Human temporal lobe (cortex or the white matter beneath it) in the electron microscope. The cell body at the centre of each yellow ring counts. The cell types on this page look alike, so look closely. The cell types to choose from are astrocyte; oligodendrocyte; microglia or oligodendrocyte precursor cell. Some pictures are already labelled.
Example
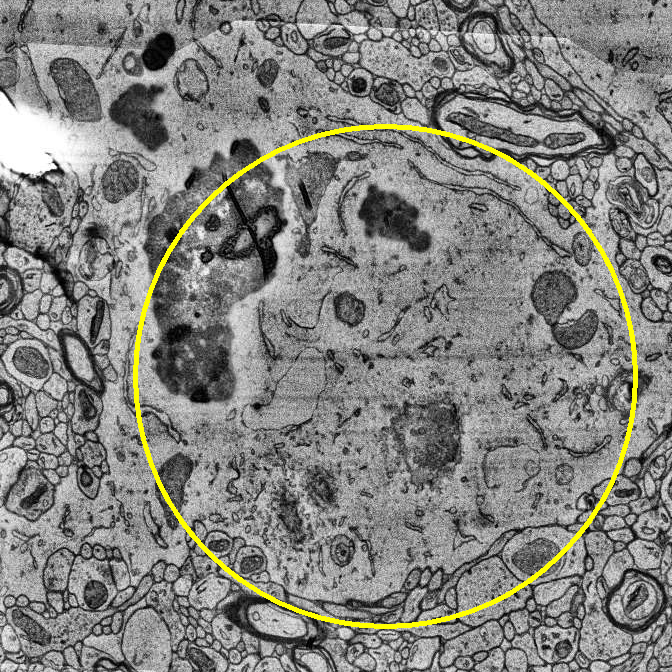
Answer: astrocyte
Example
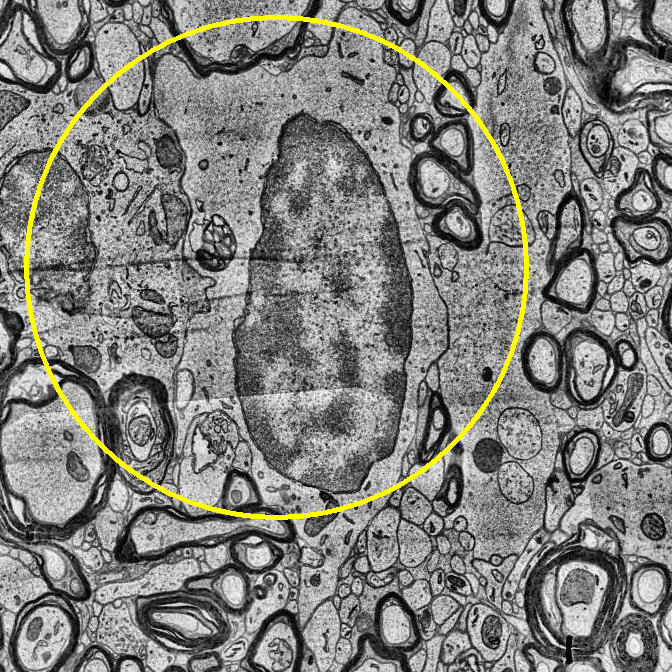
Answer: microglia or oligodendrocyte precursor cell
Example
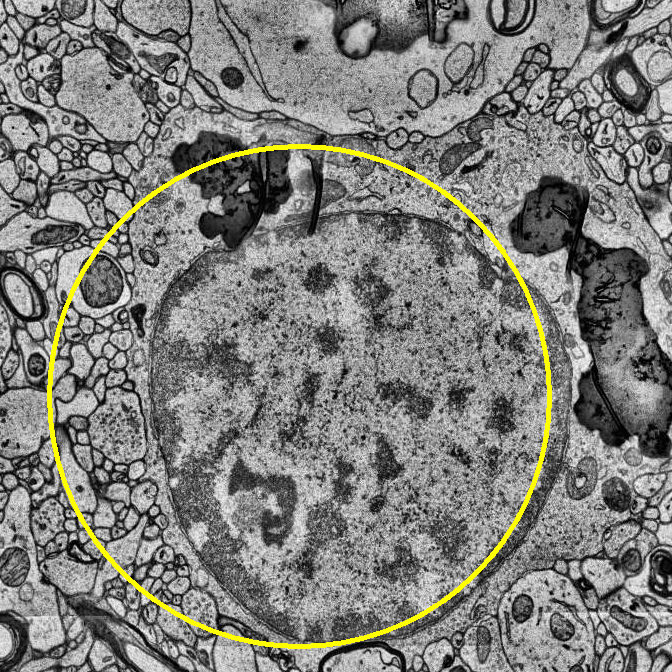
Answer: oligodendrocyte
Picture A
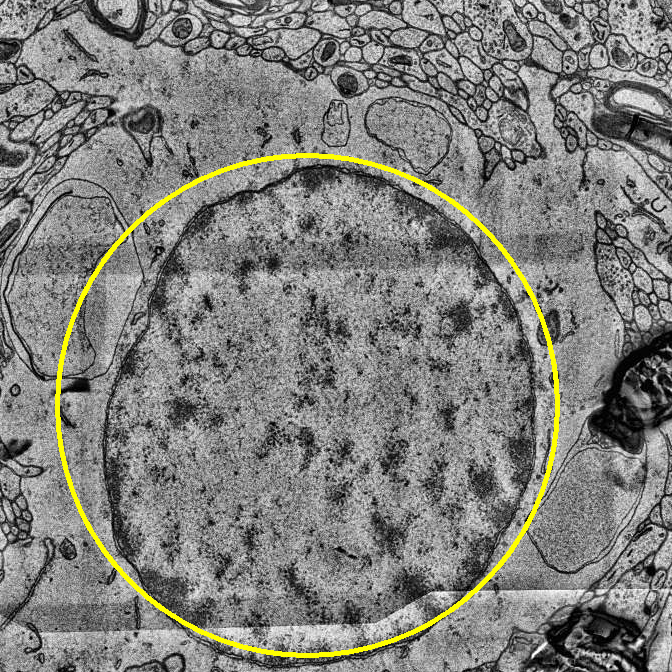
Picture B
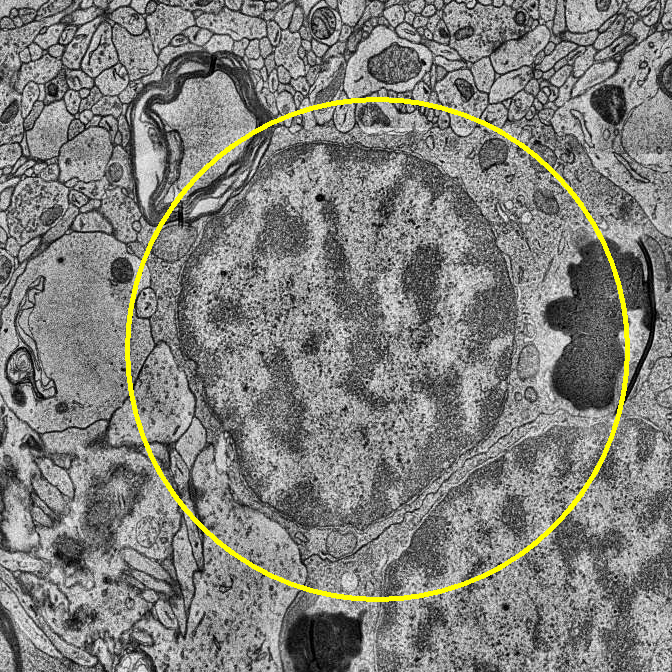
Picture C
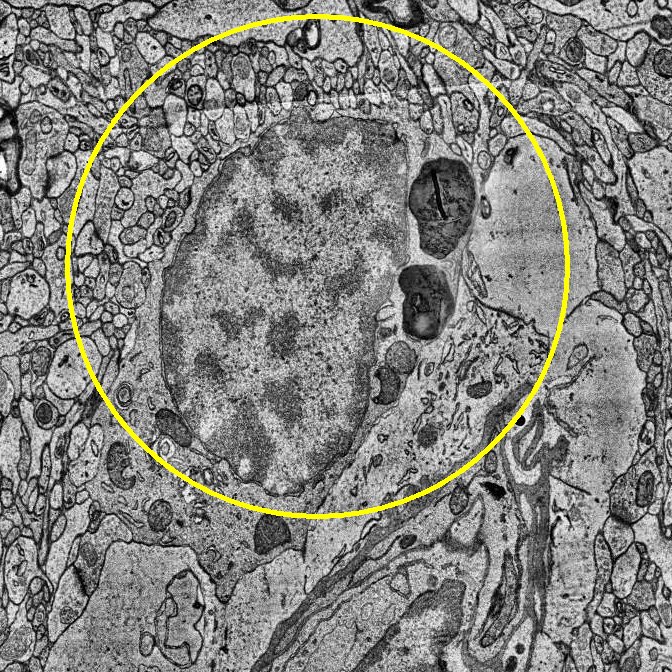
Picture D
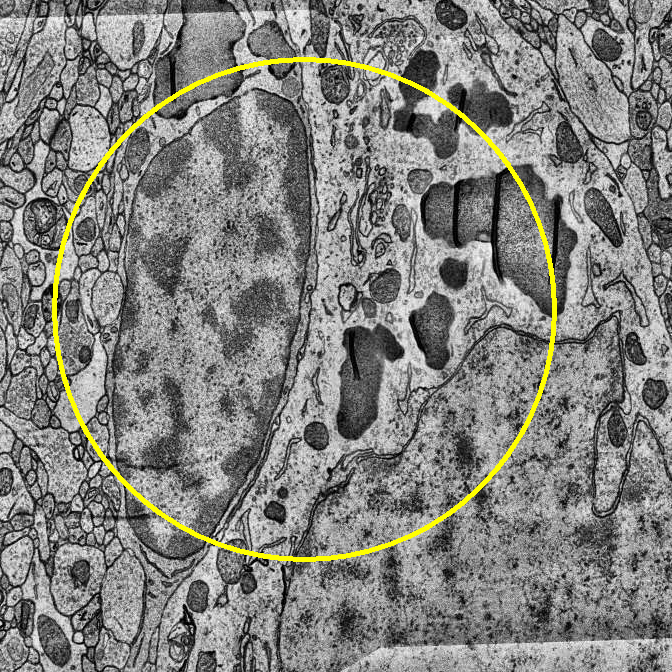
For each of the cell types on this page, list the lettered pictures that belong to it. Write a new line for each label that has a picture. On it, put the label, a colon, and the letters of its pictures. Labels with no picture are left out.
astrocyte: A
oligodendrocyte: B, C
microglia or oligodendrocyte precursor cell: D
